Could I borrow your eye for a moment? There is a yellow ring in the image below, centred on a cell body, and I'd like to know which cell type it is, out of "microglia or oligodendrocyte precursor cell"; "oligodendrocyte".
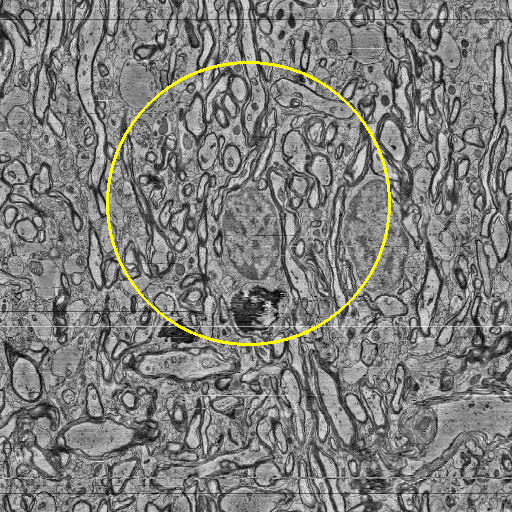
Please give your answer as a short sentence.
The cell body at the centre is that of an oligodendrocyte.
